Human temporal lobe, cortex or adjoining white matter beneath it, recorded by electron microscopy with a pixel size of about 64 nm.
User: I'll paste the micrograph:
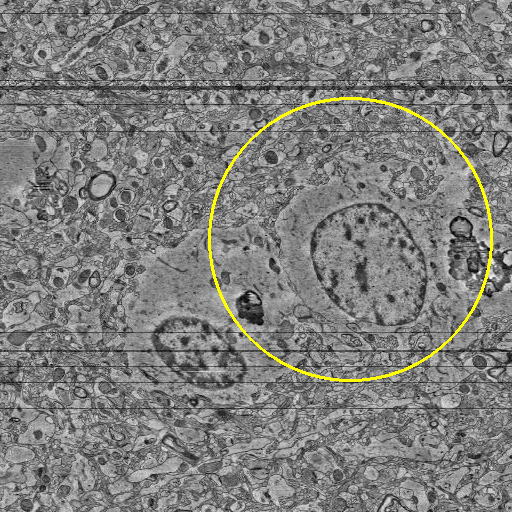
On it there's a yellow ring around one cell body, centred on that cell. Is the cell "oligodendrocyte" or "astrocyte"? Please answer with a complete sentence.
The cell ringed in yellow is an astrocyte.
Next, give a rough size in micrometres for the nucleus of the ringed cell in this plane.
The nucleus is approximately 9 micrometers long by 7 micrometers wide in this plane.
